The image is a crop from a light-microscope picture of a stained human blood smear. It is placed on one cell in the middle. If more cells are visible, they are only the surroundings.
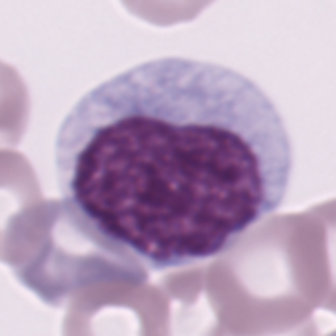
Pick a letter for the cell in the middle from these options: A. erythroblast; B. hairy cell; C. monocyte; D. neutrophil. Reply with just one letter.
C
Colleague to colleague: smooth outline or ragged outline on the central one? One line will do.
Around its whole circumference the outline stays smooth, free of projections.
